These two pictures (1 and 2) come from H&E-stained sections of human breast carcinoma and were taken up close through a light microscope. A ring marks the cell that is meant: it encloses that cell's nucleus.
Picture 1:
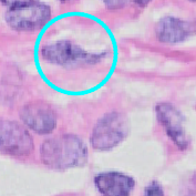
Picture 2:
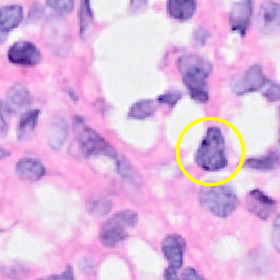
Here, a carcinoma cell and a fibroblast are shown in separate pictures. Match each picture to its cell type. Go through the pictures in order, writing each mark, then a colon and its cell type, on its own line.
1: fibroblast
2: carcinoma cell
